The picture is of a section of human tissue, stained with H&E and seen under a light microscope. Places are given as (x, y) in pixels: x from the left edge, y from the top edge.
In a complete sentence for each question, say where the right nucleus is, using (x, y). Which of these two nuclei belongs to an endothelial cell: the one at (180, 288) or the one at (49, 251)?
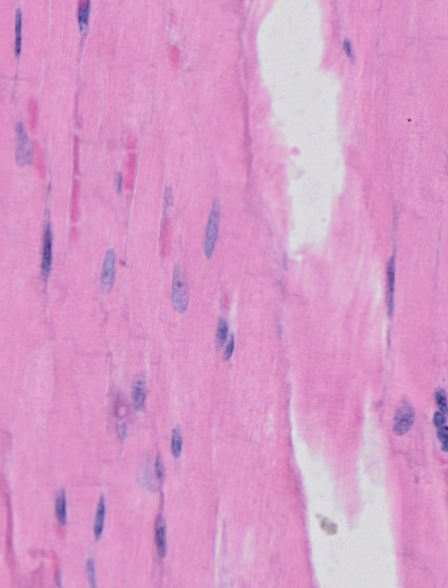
The nucleus that sits at (49, 251) is the nucleus of an endothelial cell.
